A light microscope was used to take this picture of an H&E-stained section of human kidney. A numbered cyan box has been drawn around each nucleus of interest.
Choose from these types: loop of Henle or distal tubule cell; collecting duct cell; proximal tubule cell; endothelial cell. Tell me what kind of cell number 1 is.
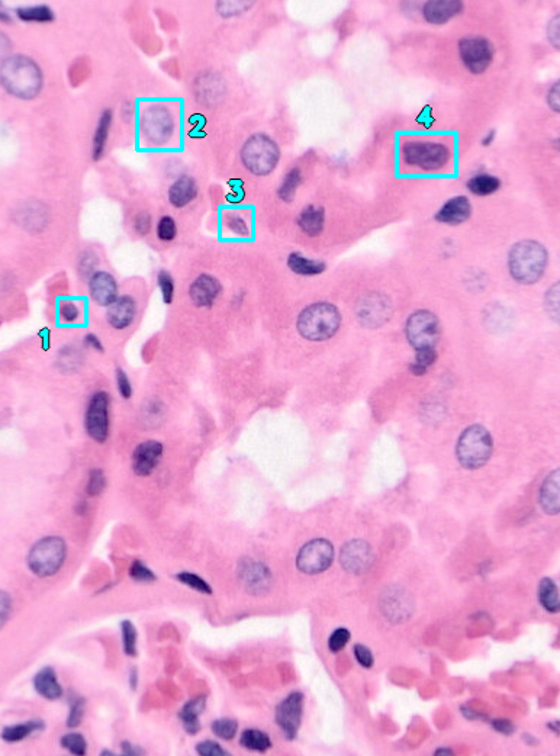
endothelial cell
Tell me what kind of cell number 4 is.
proximal tubule cell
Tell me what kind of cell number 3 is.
endothelial cell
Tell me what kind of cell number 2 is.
collecting duct cell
